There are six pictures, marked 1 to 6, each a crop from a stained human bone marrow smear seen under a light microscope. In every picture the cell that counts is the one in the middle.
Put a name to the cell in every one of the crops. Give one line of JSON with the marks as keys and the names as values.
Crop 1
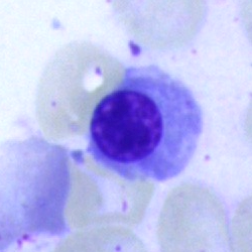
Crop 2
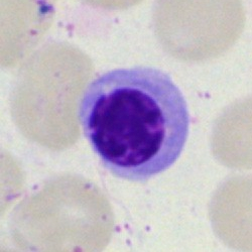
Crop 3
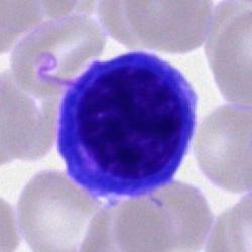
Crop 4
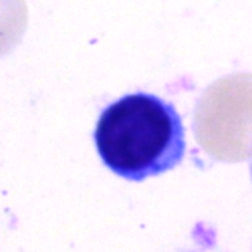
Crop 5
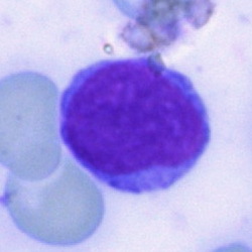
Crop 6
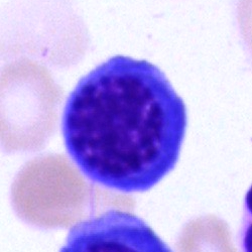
{"1": "erythroblast", "2": "erythroblast", "3": "erythroblast", "4": "lymphocyte", "5": "lymphocyte", "6": "erythroblast"}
